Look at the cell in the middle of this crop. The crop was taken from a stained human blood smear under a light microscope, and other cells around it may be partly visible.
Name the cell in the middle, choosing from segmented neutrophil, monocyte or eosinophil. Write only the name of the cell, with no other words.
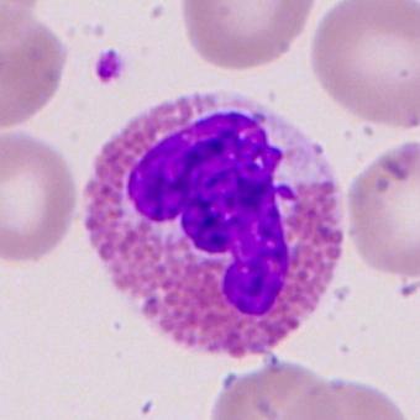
eosinophil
